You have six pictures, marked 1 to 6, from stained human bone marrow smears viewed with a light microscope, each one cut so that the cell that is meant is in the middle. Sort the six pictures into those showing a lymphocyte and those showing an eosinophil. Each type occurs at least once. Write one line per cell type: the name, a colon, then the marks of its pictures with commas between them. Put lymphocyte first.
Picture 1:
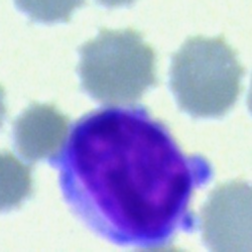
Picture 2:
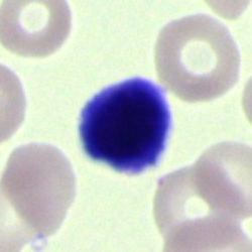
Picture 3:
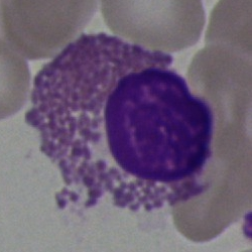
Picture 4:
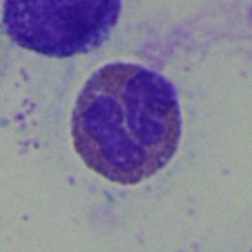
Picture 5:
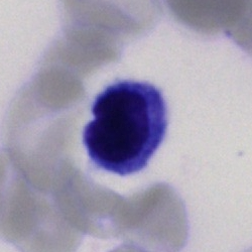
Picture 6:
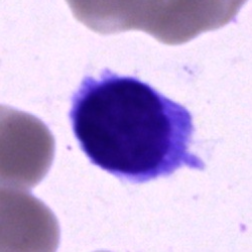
lymphocyte: 1, 2, 5, 6
eosinophil: 3, 4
